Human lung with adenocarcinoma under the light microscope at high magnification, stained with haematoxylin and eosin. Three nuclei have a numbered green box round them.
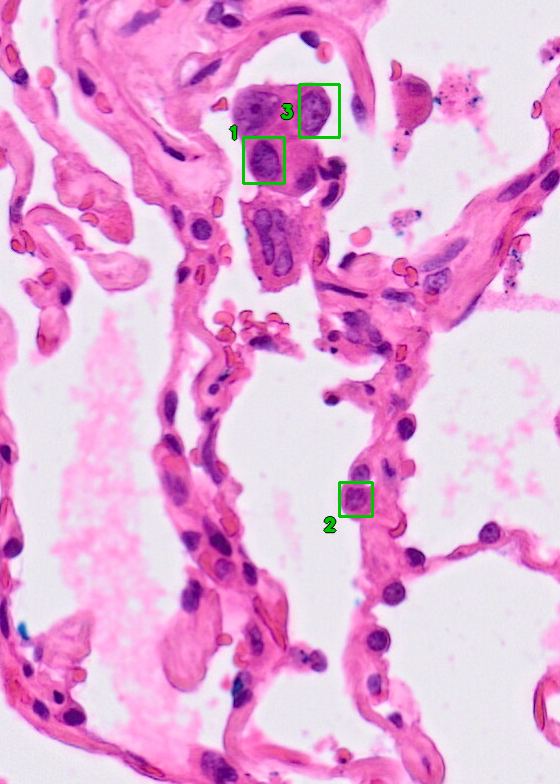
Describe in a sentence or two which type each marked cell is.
Cell 1 is a carcinoma cell, cell 2 is a macrophage or monocyte and cell 3 is a carcinoma cell.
